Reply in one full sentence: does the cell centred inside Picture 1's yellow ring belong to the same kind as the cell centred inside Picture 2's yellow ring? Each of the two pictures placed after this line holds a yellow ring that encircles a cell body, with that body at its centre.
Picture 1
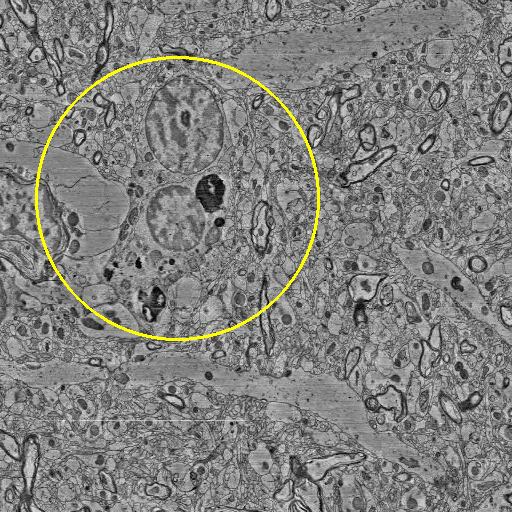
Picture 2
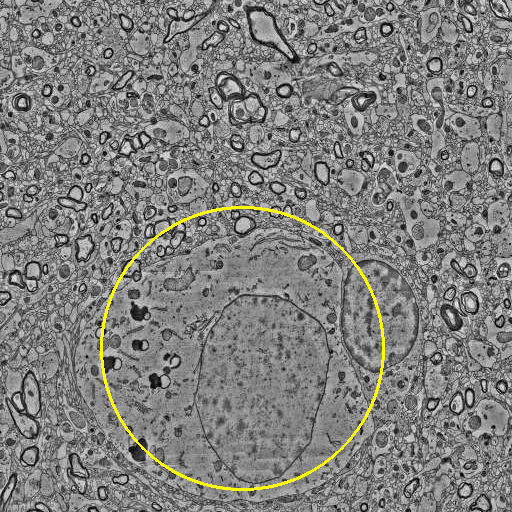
No, the ring-centred cells in Picture 1 and Picture 2 are of two separate kinds.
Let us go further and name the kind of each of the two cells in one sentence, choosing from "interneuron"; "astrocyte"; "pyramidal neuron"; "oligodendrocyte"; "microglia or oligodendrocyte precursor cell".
The ring of the first picture is on an oligodendrocyte, the ring of the second on a pyramidal neuron.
